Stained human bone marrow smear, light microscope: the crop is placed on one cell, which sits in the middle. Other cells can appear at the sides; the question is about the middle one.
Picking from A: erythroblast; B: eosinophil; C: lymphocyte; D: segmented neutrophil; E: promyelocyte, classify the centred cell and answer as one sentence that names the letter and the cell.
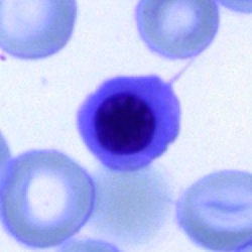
The correct option here is A; the middle cell is an erythroblast.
